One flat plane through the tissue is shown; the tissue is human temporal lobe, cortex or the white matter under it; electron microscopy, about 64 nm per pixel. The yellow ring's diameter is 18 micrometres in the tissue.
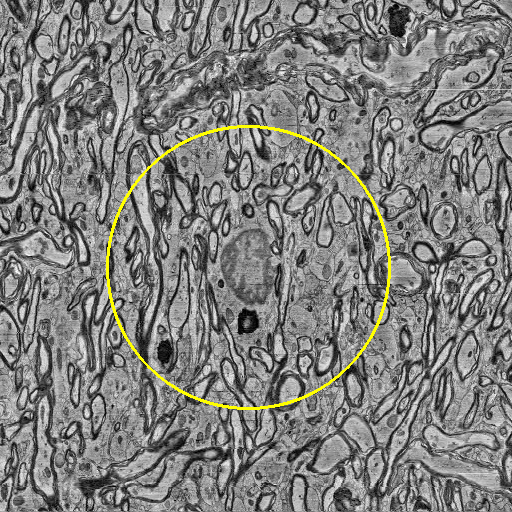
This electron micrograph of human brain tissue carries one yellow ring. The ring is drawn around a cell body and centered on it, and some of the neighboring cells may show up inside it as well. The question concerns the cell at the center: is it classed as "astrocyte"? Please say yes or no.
No, it is classed as another kind.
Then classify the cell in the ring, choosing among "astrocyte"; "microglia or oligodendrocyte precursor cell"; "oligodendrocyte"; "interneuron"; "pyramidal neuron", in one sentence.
The cell marked by the ring is an oligodendrocyte.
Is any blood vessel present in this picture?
No, a blood vessel is absent from this picture.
